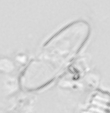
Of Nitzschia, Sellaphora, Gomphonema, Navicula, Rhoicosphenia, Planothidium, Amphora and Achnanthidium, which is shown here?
Achnanthidium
